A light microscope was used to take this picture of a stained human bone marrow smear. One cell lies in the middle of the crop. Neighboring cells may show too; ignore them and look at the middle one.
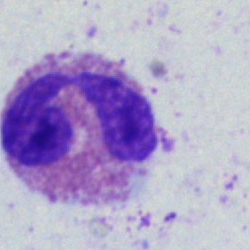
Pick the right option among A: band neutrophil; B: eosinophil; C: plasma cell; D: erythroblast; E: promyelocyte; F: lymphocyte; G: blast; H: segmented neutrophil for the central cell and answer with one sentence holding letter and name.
For this crop, option B is right, the centered cell being an eosinophil.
